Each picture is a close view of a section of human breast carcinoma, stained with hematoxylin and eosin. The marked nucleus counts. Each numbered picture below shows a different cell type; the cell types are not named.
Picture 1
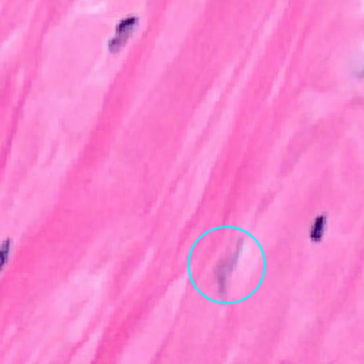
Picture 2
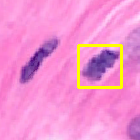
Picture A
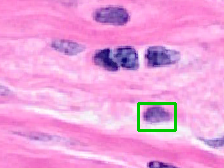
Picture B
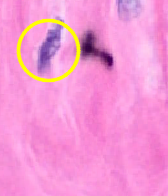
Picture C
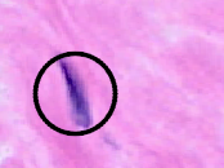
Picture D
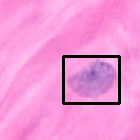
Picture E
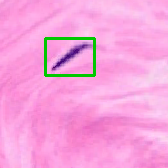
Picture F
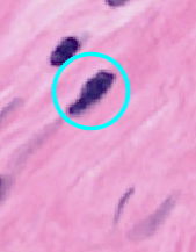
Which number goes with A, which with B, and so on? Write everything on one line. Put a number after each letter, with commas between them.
A 2, B 1, C 1, D 1, E 1, F 2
